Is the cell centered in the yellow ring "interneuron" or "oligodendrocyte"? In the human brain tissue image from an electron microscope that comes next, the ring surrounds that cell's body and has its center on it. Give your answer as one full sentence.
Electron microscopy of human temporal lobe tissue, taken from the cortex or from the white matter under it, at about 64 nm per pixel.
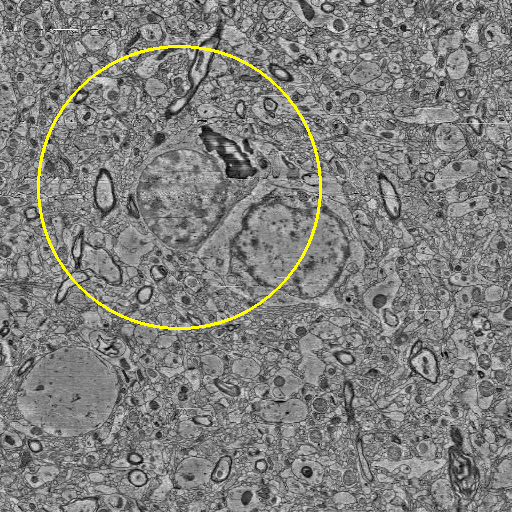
The cell at the center of the yellow ring is an oligodendrocyte in the micrograph.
